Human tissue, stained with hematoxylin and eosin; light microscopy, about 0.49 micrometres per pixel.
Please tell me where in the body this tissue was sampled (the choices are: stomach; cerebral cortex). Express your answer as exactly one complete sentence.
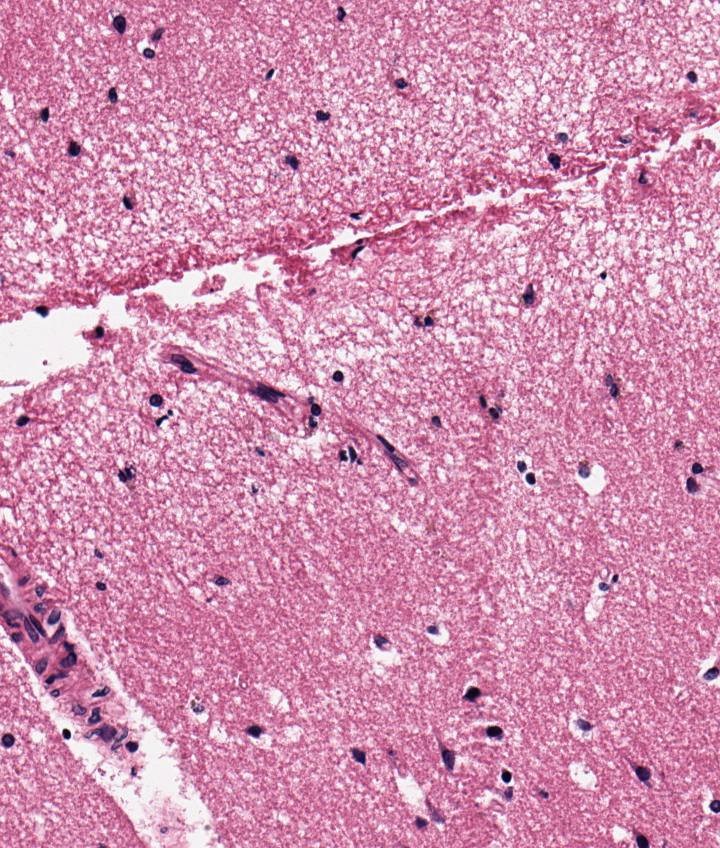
It is from the cerebral cortex that this section was cut.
